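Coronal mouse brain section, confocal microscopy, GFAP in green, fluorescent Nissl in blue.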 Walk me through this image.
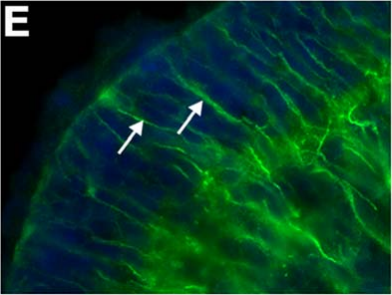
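This shows the curved outer part of a developing cerebellar folium, with Bergmann glial fibers in green crossing it radially. Deeper, the green staining becomes more diffuse and patchy.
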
